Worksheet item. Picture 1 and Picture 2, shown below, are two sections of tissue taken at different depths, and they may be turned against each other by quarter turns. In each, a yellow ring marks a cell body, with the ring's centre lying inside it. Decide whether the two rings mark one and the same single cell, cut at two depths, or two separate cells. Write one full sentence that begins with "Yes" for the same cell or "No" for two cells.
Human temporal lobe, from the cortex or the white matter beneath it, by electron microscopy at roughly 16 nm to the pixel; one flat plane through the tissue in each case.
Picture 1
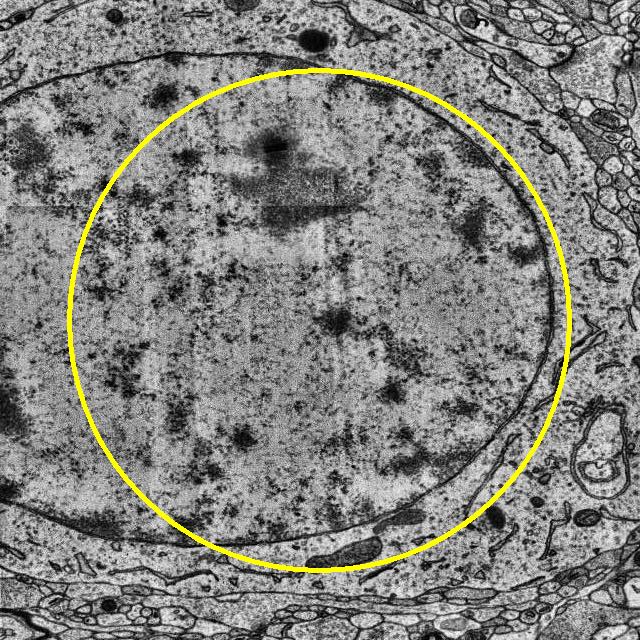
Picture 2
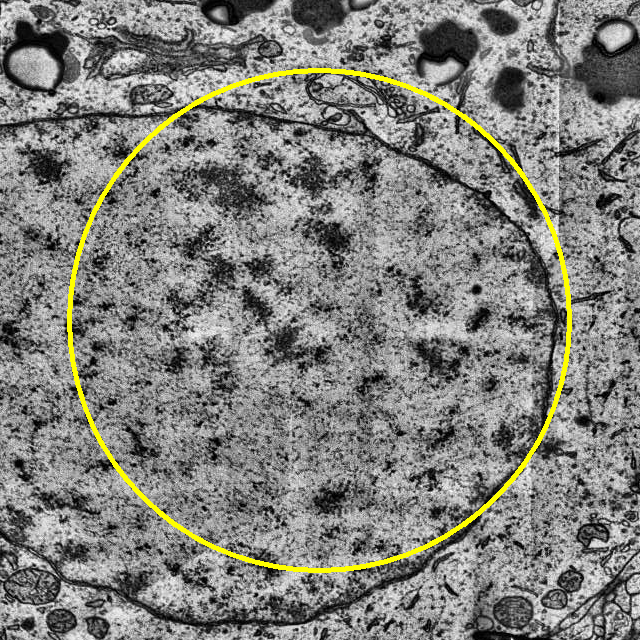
No, the two rings outline two separate cells in this micrograph.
